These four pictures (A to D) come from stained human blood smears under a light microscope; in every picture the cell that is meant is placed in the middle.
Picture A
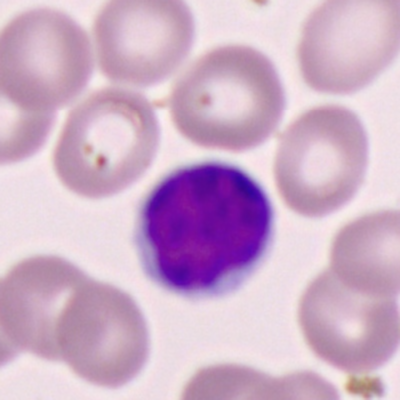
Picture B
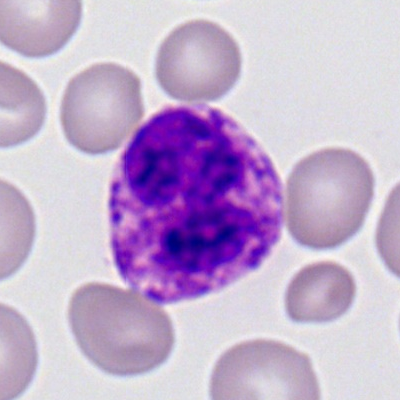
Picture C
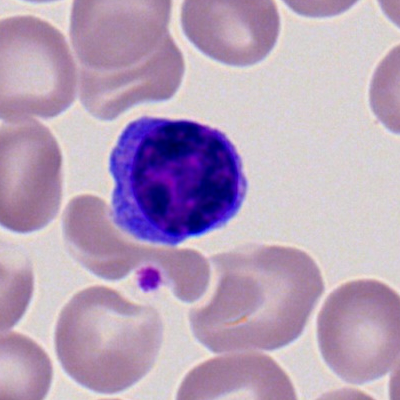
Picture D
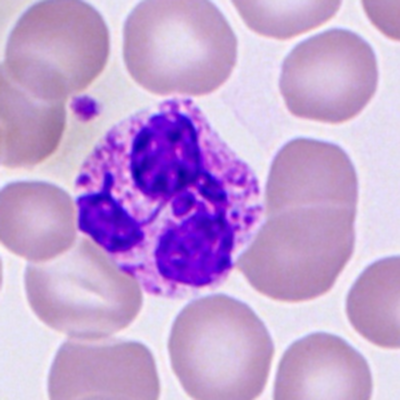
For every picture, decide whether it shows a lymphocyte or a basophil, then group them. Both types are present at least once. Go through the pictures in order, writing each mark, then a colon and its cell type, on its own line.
A: lymphocyte
B: basophil
C: lymphocyte
D: basophil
